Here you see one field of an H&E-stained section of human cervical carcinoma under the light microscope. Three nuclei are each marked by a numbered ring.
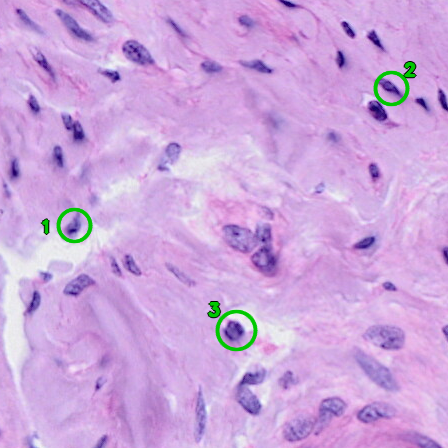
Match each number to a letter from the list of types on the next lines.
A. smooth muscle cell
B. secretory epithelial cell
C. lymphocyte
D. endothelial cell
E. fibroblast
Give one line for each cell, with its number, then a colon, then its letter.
1: E
2: E
3: C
